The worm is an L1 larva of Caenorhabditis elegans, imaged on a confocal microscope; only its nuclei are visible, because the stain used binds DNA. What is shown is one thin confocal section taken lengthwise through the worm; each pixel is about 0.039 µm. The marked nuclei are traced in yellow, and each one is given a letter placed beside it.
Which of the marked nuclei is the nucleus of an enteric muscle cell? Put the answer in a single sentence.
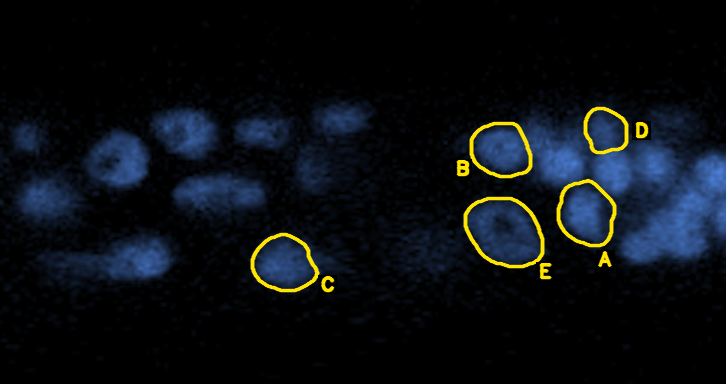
Of the marked nuclei, B is the one in an enteric muscle cell.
